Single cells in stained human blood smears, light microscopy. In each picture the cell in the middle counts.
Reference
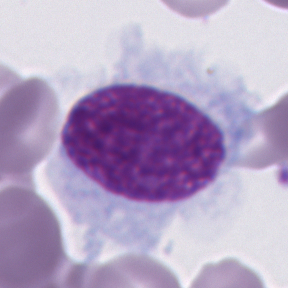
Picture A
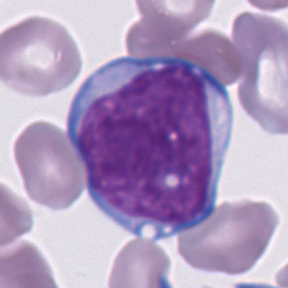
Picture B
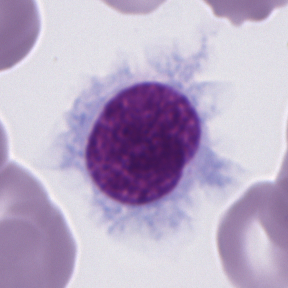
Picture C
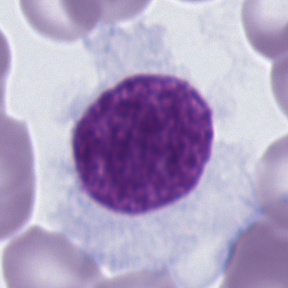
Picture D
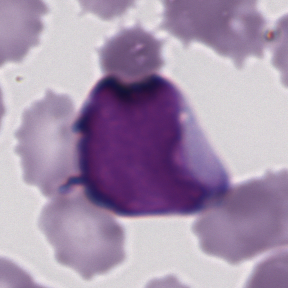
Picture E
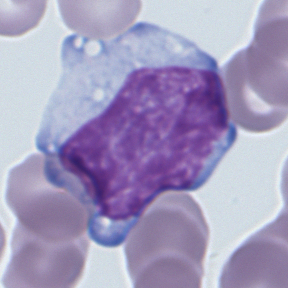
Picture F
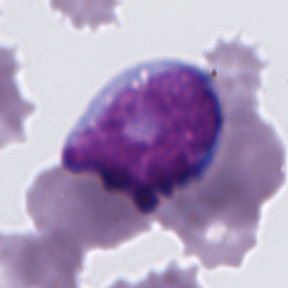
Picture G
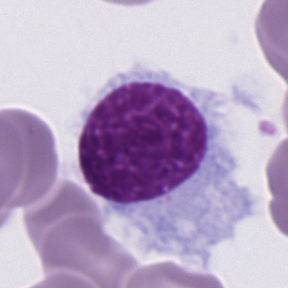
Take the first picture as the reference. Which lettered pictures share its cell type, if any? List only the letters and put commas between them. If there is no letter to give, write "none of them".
B, C, G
